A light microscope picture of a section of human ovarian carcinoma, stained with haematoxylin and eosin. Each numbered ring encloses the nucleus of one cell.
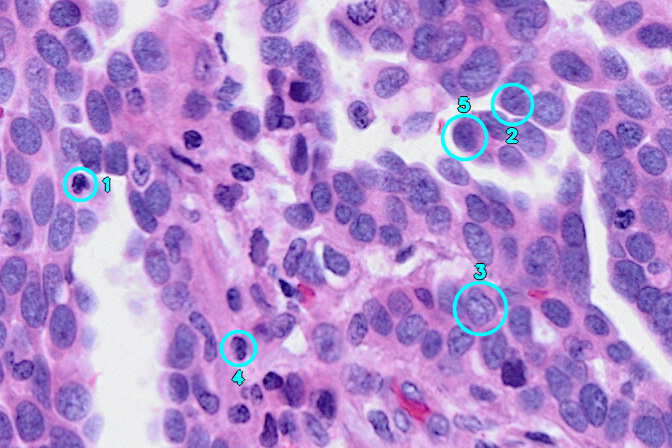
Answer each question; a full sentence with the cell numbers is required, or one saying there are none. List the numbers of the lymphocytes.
Cells 1 and 4 are of one type, namely lymphocytes.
